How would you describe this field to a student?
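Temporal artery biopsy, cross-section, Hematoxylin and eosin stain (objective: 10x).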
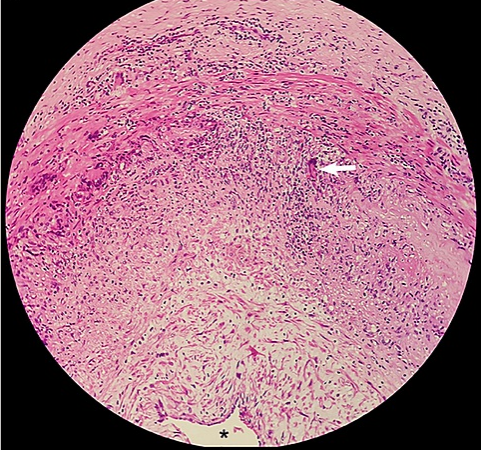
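A curved band of pink smooth muscle runs across the upper half, and in and just inside it lie dense crowds of small dark round lymphocytes mixed with paler histiocytes with oval nuclei. Toward the bottom the inner layer becomes loose, pale and fibrous with sparse spindle-shaped cells, and it borders a small clear space of the lumen at the lower edge.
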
